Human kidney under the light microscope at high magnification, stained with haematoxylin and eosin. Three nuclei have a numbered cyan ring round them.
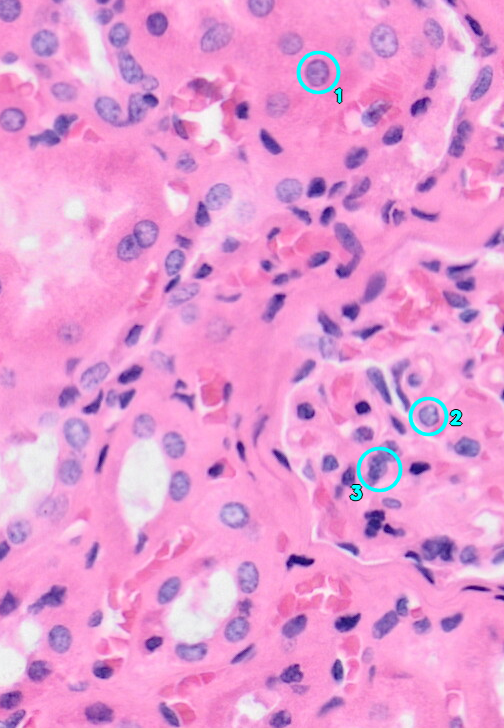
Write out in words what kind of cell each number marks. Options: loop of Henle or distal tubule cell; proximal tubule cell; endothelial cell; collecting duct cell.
Cell 1 is a proximal tubule cell. Cells 2 and 3 are endothelial cells.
